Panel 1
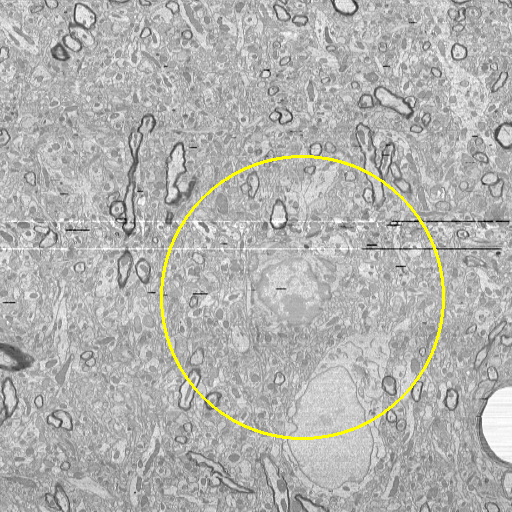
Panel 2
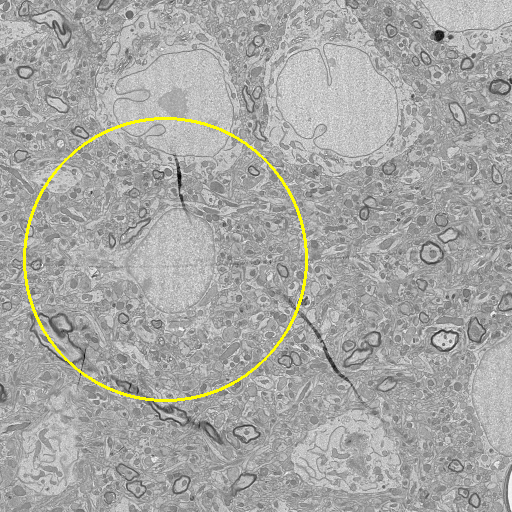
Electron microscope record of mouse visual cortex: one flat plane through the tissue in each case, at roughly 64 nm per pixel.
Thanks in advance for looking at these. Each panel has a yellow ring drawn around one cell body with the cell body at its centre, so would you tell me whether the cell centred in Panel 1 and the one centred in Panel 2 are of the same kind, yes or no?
no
